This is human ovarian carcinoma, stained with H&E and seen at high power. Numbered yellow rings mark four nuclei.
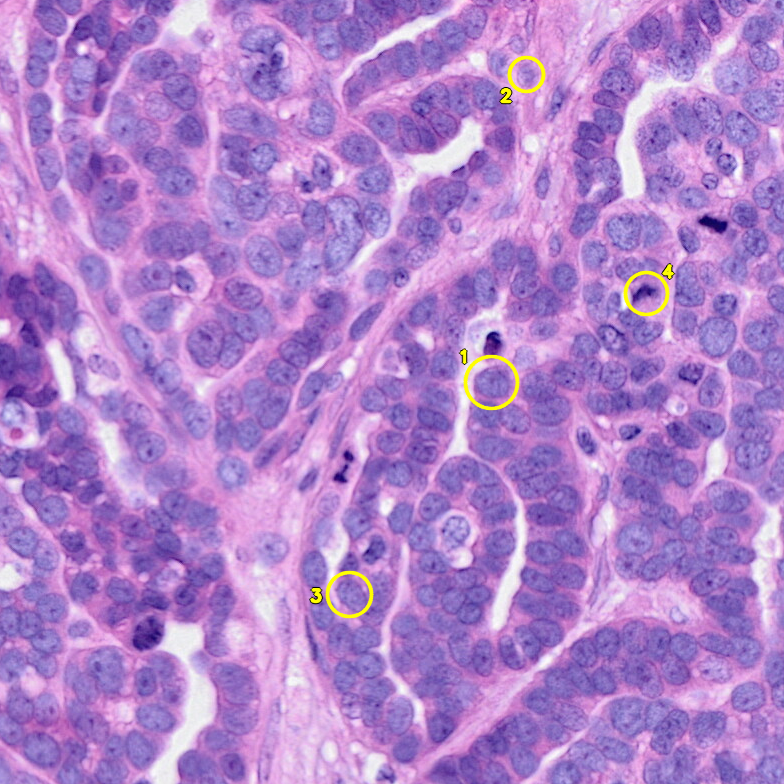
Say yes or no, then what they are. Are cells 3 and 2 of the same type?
No, the cell numbered 3 is a carcinoma cell and the cell numbered 2 is a fibroblast.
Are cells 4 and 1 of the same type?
Yes, in short, cells 4 and 1 are both carcinoma cells.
